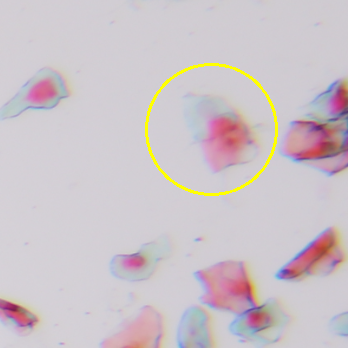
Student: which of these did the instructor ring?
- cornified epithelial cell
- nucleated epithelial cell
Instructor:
The cell I ringed is a cornified epithelial cell.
